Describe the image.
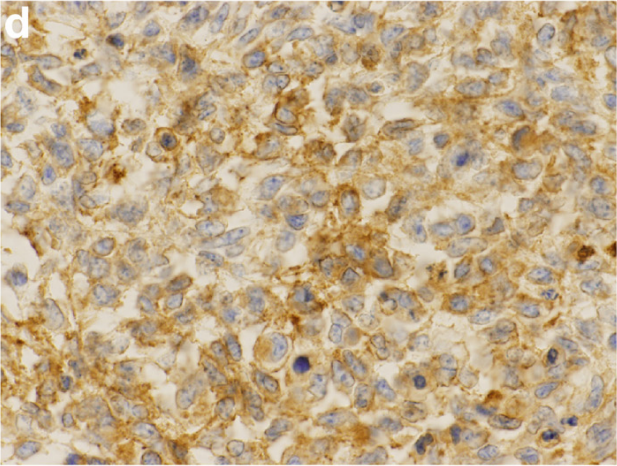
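This shows sheets of closely packed tumor cells with round to oval blue nuclei and fine chromatin. A brown stain outlines the borders of most cells and lies in a faint meshwork around them, while the nuclei stay blue. The cells are fairly uniform, without clear glands or layers among them.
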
